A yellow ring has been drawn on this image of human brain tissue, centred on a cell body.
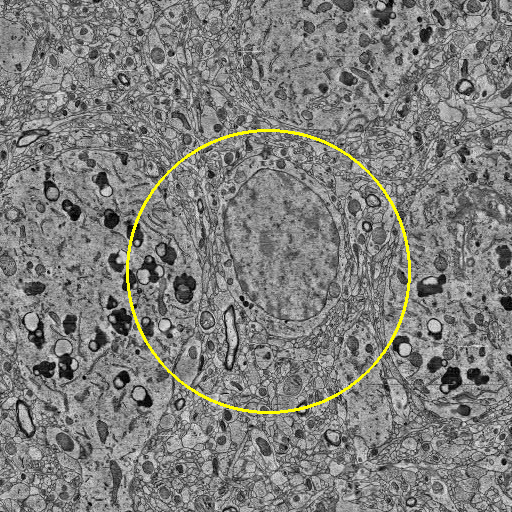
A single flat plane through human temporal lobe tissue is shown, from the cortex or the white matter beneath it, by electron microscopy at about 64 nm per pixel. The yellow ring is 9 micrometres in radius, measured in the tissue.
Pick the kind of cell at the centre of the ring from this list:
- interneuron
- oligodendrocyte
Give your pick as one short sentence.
The centre of the ring holds an interneuron.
